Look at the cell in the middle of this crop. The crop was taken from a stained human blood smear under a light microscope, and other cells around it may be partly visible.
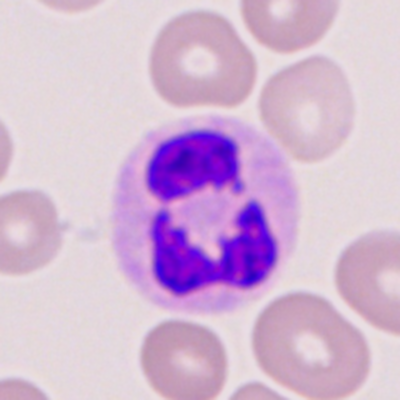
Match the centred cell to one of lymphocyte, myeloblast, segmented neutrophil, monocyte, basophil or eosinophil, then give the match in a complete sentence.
Whatever else lies nearby, the middle cell is a segmented neutrophil.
